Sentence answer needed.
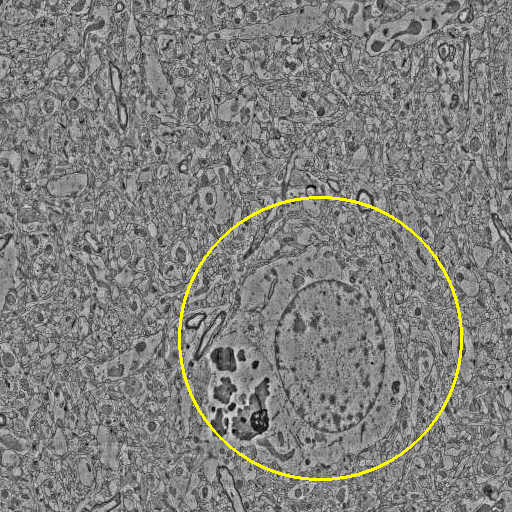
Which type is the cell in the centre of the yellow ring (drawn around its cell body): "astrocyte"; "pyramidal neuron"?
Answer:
In the centre of the yellow ring is an astrocyte.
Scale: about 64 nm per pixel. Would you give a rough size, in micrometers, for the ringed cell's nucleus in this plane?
In this plane the nucleus measures roughly 10 by 7 micrometers.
